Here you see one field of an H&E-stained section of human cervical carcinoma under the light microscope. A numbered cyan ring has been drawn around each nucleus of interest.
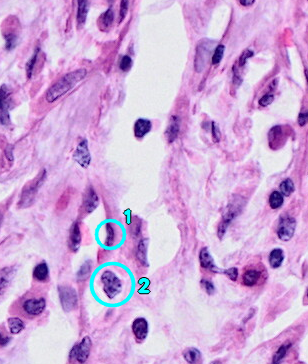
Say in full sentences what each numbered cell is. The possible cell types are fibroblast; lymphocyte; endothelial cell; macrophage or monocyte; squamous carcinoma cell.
Cell 1 is an endothelial cell. Cell 2 is a lymphocyte.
